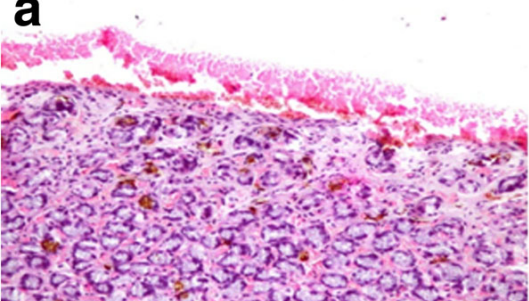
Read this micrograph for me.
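Gastric mucosa whose surface lacks a lining epithelium and is instead covered by a band of red-staining blood. Beneath it, closely packed glands with purple-stained cells fill the field, separated by pink connective tissue, and scattered brown-pigmented spots lie among the glands.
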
